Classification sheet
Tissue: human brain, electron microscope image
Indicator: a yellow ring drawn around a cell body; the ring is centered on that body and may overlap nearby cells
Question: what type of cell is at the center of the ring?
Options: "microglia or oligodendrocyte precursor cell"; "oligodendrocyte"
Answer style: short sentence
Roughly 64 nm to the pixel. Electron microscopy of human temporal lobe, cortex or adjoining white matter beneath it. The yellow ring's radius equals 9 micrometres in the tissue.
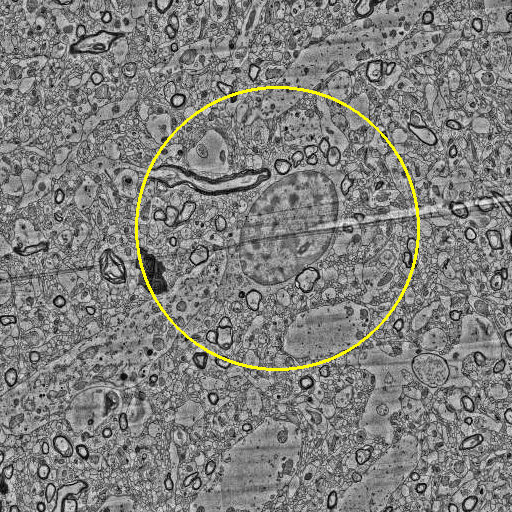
At the ring's center is an oligodendrocyte.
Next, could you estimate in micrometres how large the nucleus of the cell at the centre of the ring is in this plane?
About 8 by 5 micrometres in this plane.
